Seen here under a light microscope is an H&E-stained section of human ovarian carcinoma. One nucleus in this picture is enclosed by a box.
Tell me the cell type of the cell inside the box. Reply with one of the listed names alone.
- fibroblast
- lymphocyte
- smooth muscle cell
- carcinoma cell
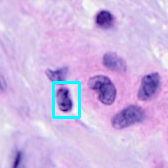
lymphocyte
